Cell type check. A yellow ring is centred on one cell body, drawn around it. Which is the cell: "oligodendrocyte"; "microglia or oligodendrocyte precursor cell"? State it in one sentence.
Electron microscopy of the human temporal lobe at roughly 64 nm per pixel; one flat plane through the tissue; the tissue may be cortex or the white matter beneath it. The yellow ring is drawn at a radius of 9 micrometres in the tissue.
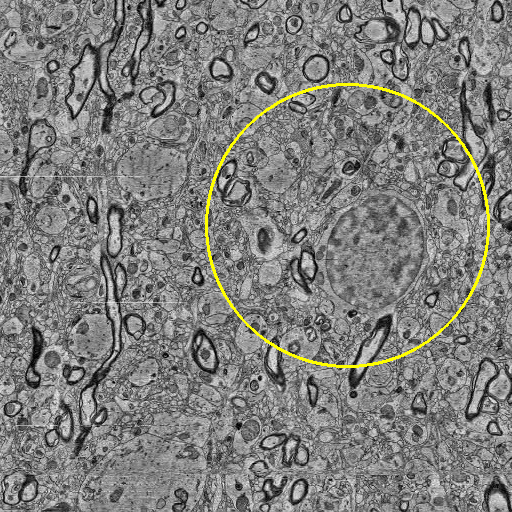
The cell body at the ring's centre belongs to an oligodendrocyte.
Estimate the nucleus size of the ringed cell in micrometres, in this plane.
About 8 by 6 micrometres in this plane.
